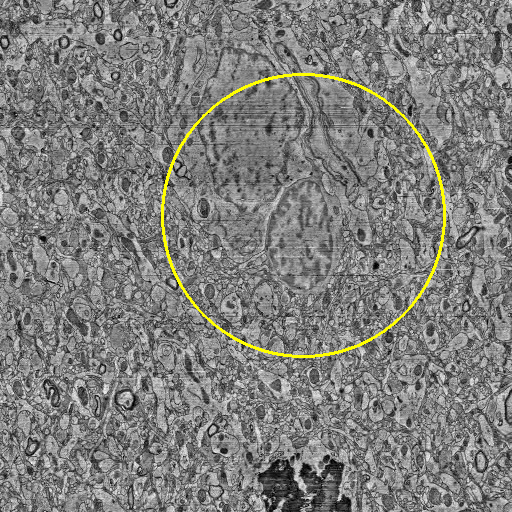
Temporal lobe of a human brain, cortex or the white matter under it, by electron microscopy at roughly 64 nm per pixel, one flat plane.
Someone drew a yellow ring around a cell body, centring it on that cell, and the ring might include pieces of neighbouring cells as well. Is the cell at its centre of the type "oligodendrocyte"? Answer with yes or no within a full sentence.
Yes, within the picture, the cell the ring is centred on qualifies as that type.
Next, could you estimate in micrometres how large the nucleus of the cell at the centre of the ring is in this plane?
About 7 by 4 micrometres in this plane; clearly longer than it is wide.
